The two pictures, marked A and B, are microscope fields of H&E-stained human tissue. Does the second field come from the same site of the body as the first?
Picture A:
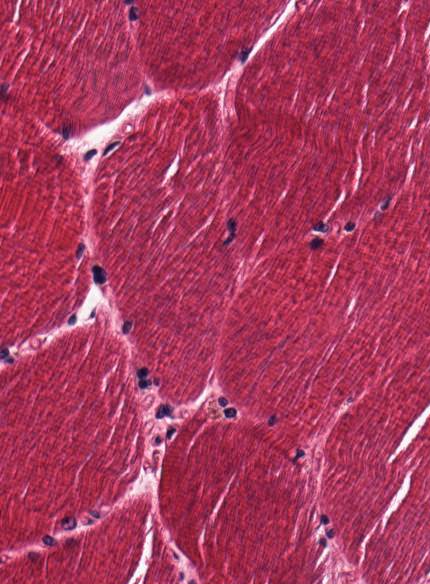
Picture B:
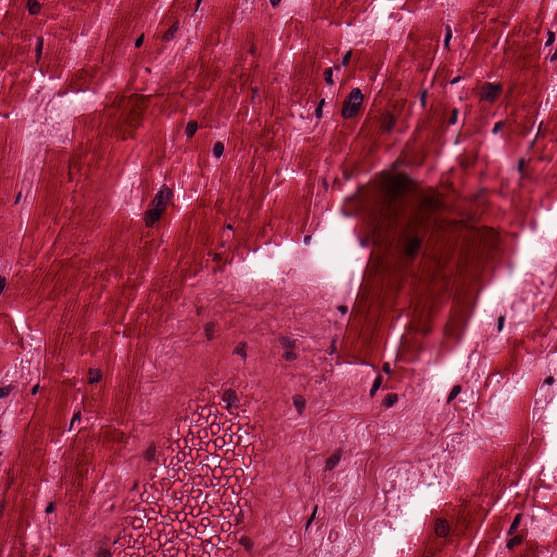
no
